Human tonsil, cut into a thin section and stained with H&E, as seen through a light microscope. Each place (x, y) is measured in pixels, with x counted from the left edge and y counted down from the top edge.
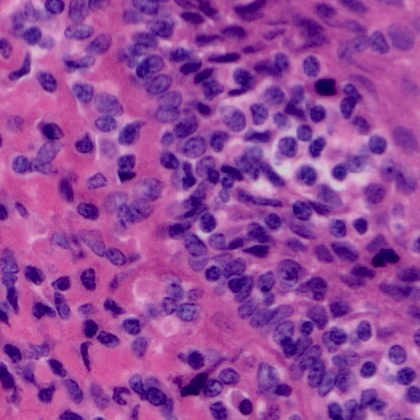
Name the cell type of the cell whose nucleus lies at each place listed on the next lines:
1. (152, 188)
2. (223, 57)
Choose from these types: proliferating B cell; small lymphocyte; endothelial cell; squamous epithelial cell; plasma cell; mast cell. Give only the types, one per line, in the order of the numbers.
endothelial cell
squamous epithelial cell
